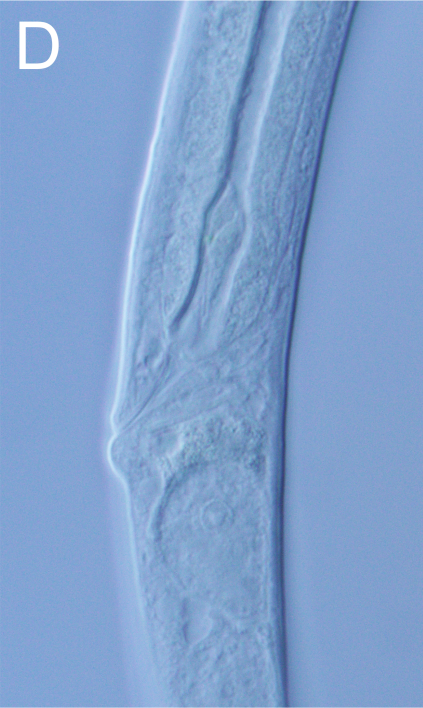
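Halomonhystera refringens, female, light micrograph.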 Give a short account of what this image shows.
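A segment of a nematode body is seen in differential interference contrast, bounded by a smooth clear cuticle. On one side the body wall forms a small bulging opening. Toward it a narrow tube runs down from above, and fine fibres fan out toward the opening. Below the opening lies a rounded granular mass with a pale round inner body. This is the anal body region of the worm, where the end of the gut opens through the body wall.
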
